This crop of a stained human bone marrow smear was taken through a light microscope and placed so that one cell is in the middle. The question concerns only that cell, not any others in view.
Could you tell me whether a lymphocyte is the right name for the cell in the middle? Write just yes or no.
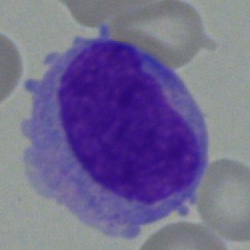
no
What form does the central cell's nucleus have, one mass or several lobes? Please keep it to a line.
There is one compact nucleus, and its shape is round, oval or kidney-like.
